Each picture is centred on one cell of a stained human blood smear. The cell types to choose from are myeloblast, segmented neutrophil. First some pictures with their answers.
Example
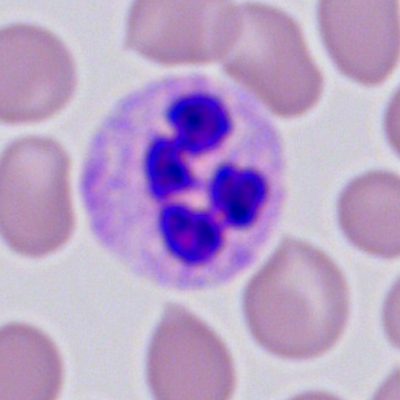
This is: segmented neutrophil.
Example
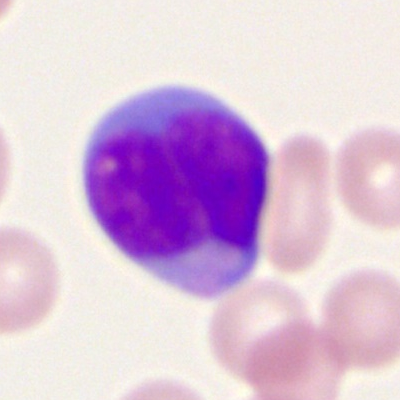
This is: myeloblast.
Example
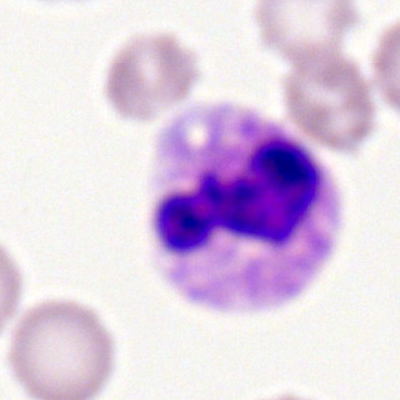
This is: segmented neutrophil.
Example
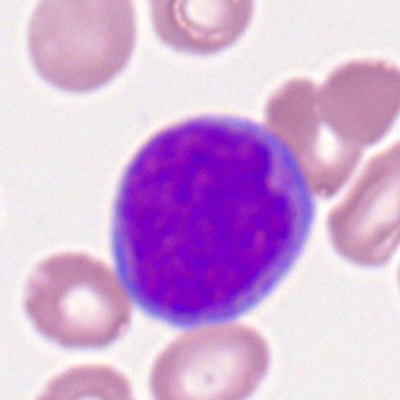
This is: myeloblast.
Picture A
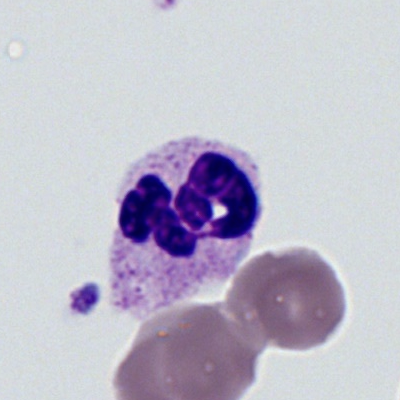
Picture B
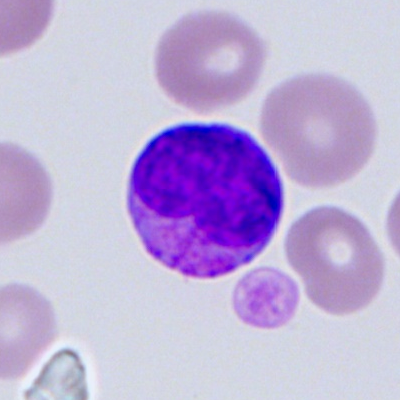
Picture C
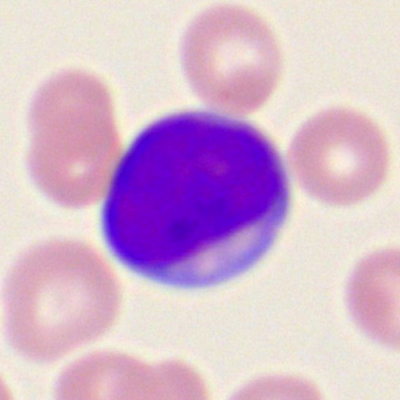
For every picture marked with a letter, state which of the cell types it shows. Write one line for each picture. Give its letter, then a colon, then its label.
A: segmented neutrophil.
B: myeloblast.
C: myeloblast.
